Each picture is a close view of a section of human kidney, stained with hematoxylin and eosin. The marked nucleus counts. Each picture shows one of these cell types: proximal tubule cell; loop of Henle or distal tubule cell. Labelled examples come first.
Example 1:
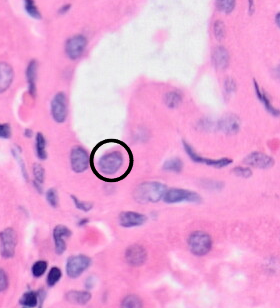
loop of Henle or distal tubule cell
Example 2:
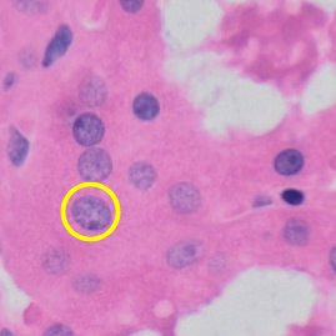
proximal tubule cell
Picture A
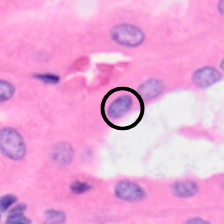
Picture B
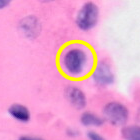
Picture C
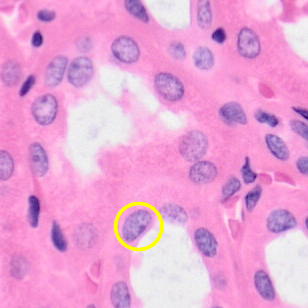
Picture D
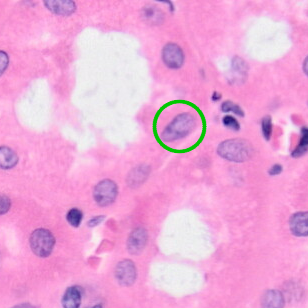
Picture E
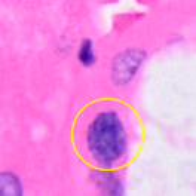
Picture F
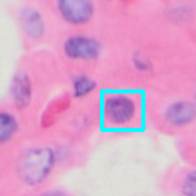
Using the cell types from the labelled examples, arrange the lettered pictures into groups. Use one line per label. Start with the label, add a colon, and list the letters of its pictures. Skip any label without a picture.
proximal tubule cell: D
loop of Henle or distal tubule cell: A, B, C, E, F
